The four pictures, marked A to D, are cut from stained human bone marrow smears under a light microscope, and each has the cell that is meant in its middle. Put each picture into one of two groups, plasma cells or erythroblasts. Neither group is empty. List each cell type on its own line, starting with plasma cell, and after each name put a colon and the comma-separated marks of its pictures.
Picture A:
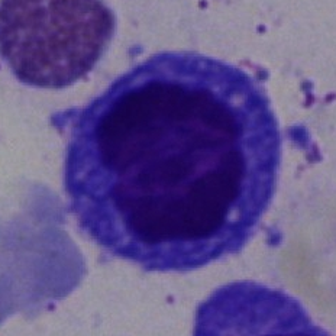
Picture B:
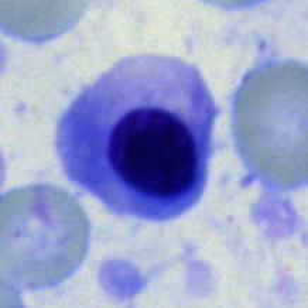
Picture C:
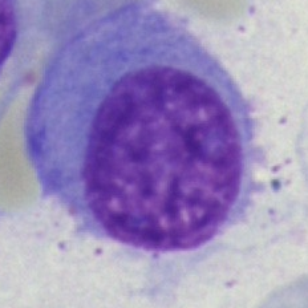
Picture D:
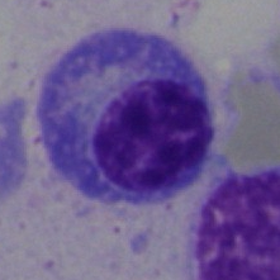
plasma cell: C, D
erythroblast: A, B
